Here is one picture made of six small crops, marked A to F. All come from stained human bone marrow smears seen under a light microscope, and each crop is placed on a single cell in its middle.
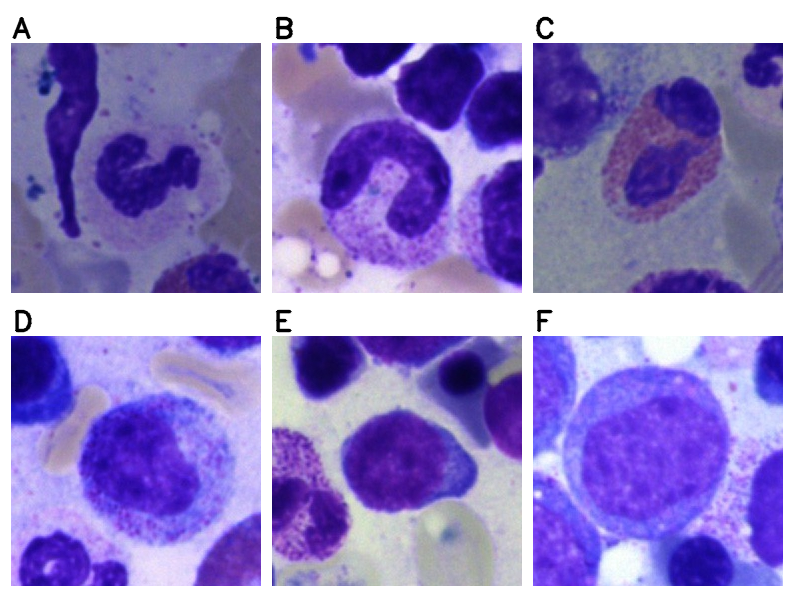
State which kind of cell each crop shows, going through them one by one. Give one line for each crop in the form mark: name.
A: segmented neutrophil
B: band neutrophil
C: eosinophil
D: myelocyte
E: lymphocyte
F: blast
